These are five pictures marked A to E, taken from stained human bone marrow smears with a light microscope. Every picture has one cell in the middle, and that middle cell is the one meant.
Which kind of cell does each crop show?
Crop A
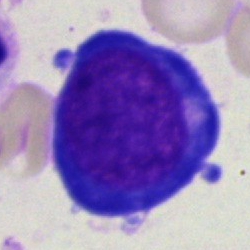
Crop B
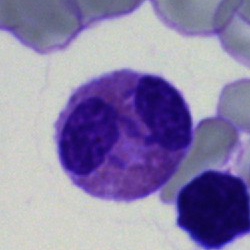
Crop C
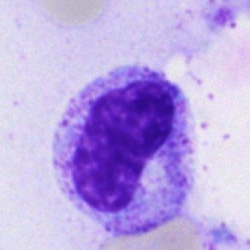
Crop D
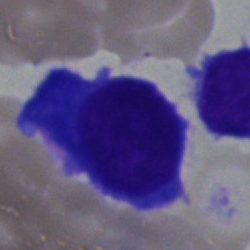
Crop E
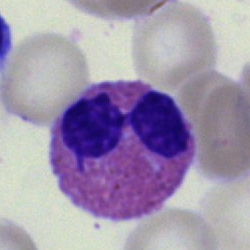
A: proerythroblast
B: eosinophil
C: metamyelocyte
D: plasma cell
E: eosinophil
